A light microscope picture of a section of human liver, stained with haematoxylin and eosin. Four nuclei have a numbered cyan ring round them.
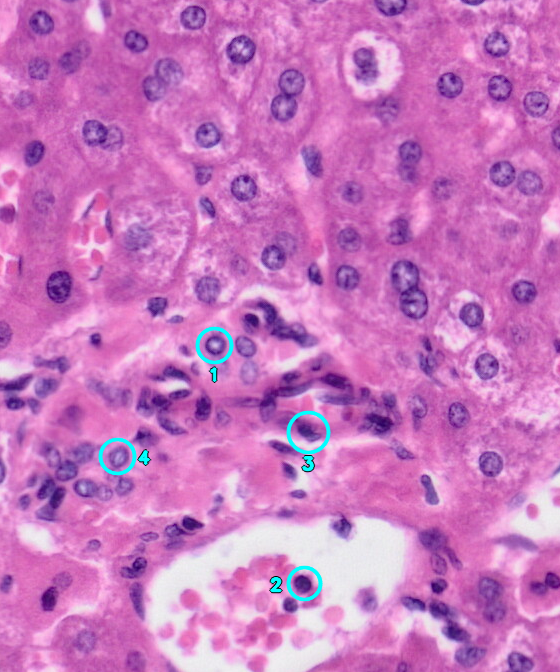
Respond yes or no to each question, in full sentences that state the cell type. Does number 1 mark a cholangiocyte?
Yes, the cell denoted by 1 is a cholangiocyte.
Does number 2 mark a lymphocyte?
Yes, what number 2 marks is a lymphocyte.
